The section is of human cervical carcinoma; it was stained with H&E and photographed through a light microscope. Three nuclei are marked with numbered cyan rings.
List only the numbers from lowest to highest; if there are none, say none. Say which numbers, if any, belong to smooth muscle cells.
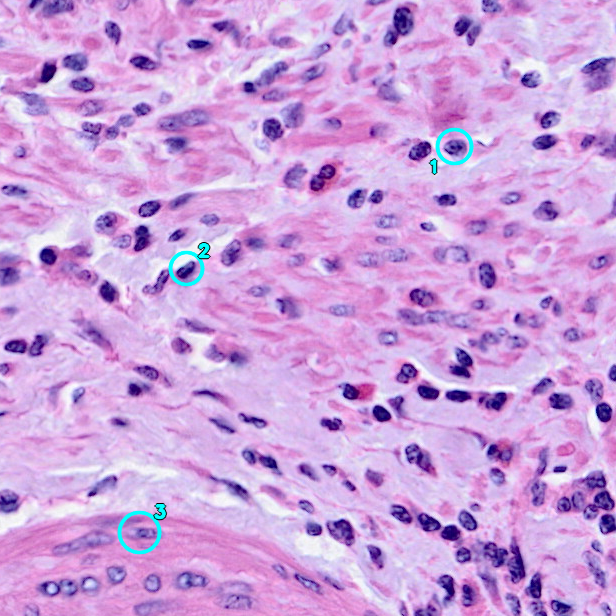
3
